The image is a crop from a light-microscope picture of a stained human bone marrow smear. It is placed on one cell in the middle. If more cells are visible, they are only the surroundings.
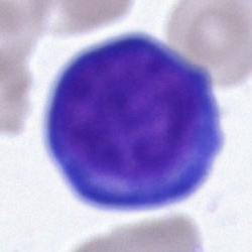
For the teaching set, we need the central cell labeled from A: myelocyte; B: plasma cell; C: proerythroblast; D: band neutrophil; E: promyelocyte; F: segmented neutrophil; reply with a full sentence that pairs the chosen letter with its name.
Option C holds up: the cell in the middle is a proerythroblast.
